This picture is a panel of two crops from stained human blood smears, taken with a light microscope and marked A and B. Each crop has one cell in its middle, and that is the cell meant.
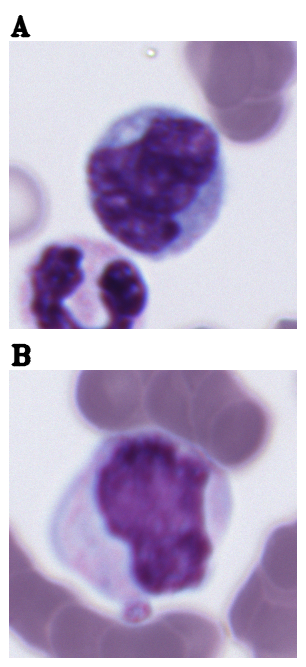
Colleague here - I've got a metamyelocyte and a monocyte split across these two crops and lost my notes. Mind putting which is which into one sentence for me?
Recognised in crop A is a monocyte, and recognised in crop B is a metamyelocyte.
